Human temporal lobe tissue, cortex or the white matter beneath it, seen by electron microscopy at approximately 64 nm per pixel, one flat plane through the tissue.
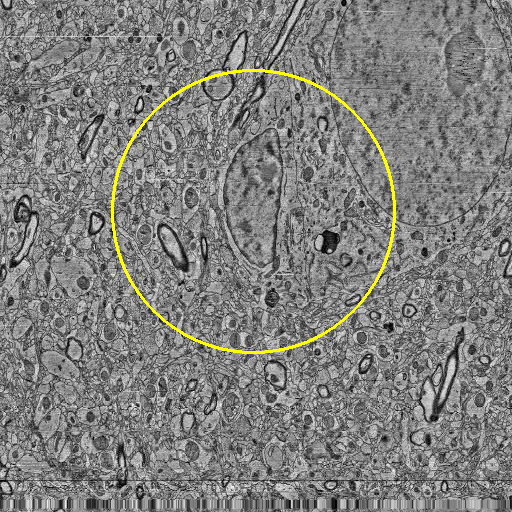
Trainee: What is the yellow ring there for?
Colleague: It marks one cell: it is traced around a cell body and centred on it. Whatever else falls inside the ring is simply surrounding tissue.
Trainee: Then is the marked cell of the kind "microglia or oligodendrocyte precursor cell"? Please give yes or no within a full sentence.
Yes, the marked cell at the centre of the yellow ring is of the kind asked about.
